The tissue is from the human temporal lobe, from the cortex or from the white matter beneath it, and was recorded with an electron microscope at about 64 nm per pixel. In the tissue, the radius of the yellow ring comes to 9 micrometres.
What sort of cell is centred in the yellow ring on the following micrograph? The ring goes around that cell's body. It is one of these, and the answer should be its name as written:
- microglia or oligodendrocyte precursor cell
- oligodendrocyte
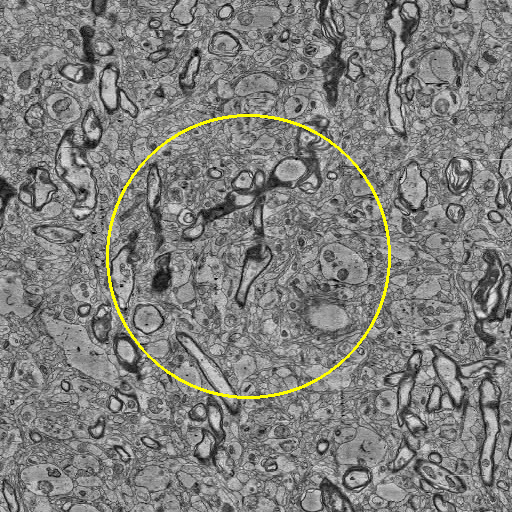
oligodendrocyte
